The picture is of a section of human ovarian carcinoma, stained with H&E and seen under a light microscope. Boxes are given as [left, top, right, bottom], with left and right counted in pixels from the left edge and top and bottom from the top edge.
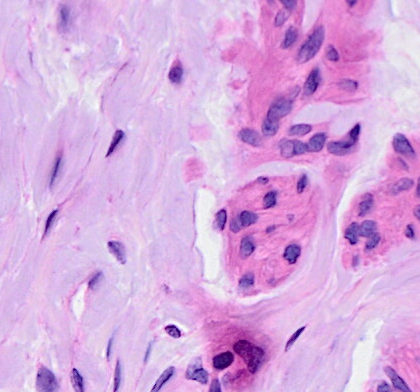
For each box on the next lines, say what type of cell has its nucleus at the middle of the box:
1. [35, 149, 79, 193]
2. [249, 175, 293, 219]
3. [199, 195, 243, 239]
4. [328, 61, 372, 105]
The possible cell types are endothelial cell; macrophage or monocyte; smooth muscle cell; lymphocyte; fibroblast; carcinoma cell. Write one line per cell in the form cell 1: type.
cell 1: fibroblast
cell 2: smooth muscle cell
cell 3: smooth muscle cell
cell 4: smooth muscle cell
